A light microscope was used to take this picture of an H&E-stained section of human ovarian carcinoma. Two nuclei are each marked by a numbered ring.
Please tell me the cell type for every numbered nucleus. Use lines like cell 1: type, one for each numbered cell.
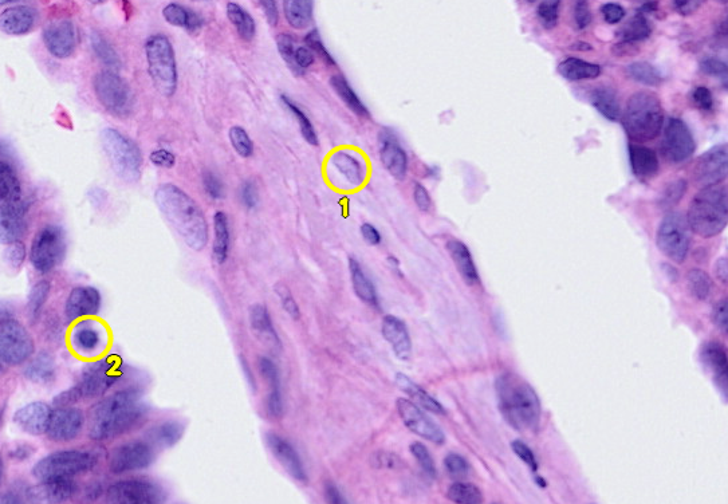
cell 1: fibroblast
cell 2: lymphocyte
